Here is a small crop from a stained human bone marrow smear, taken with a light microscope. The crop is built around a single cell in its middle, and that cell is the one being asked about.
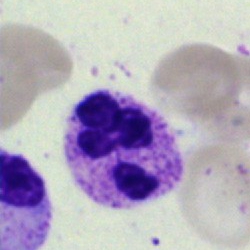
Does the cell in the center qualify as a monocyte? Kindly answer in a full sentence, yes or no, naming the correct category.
No, the cell in the middle is correctly named a segmented neutrophil, not a monocyte.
